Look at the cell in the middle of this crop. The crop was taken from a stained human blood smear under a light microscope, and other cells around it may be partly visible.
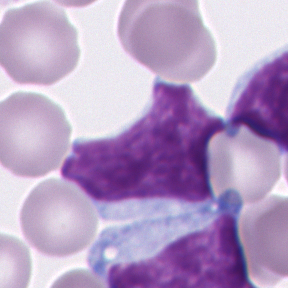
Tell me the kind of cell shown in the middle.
typical lymphocyte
